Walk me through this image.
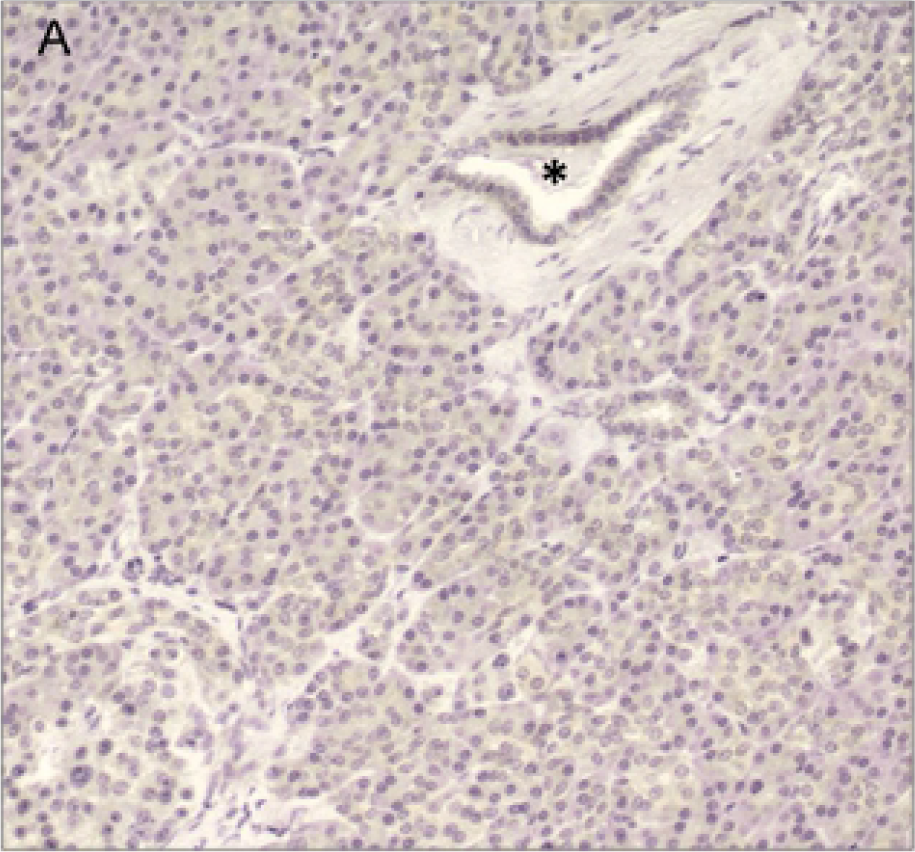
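This is exocrine pancreas with densely packed acini and, near the top, a duct with a branching, elongated lumen. The duct is lined by a single row of cuboidal to columnar cells with dark nuclei and is wrapped in a pale band of fibrous connective tissue. The acinar cells have round blue nuclei at the periphery of each acinus and pale grey-lilac cytoplasm. No brown deposits are seen in any of the cells. Thin septa of connective tissue divide the tissue into lobules.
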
